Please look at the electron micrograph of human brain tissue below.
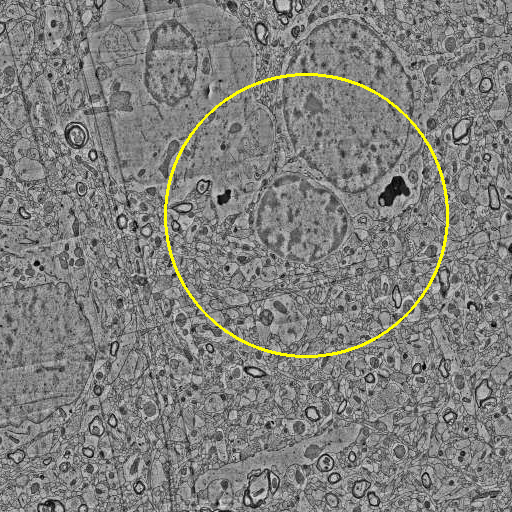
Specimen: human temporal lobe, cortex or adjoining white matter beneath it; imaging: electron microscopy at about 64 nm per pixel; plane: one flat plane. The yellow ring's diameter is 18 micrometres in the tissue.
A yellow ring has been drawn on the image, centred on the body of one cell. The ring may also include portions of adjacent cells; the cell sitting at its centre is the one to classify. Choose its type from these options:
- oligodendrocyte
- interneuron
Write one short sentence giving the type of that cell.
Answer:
The cell in the middle of the ring is an oligodendrocyte.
